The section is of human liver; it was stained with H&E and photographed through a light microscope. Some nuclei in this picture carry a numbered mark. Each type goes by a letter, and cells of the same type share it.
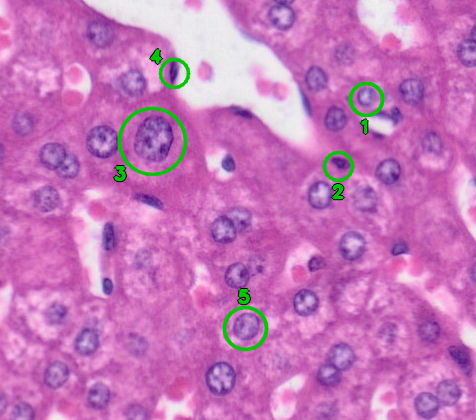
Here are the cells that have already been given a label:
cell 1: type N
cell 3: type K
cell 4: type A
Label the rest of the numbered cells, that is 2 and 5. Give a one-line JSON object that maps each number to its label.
{"2": "type A", "5": "type K"}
